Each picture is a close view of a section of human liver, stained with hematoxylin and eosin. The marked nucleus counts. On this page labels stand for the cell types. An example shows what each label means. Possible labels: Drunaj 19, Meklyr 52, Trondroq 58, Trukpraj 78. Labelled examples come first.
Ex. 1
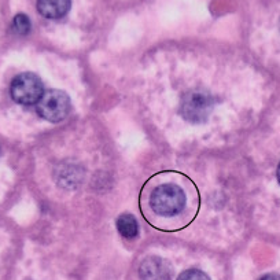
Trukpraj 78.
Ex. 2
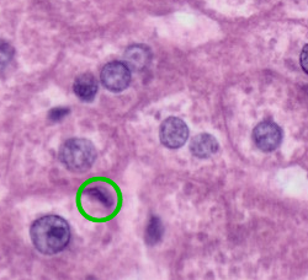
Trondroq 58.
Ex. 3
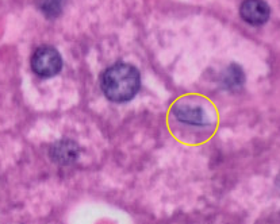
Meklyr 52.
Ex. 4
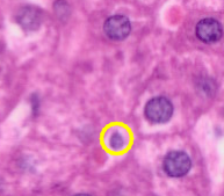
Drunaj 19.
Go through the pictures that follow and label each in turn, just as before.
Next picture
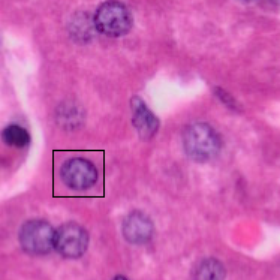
Trukpraj 78.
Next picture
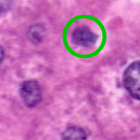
Meklyr 52.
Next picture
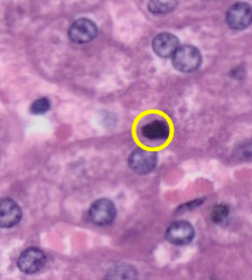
Trondroq 58.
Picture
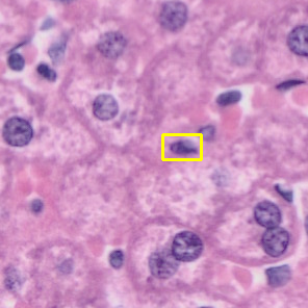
Trondroq 58.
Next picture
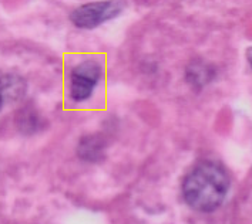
Meklyr 52.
